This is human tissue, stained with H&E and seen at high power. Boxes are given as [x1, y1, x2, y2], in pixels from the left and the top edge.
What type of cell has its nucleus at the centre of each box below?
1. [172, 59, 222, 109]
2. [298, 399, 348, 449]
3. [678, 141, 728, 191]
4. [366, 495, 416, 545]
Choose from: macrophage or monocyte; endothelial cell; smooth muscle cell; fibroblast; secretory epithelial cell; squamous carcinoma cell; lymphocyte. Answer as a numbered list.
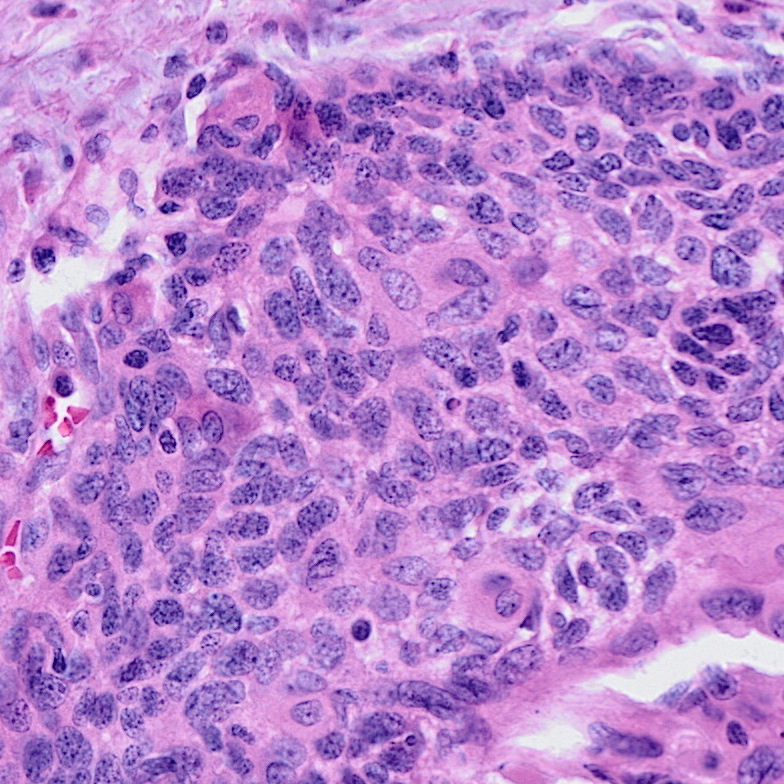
1. lymphocyte
2. squamous carcinoma cell
3. squamous carcinoma cell
4. squamous carcinoma cell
